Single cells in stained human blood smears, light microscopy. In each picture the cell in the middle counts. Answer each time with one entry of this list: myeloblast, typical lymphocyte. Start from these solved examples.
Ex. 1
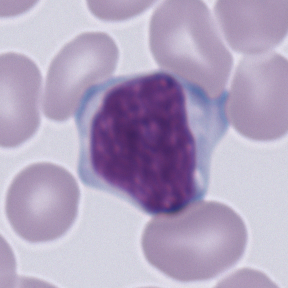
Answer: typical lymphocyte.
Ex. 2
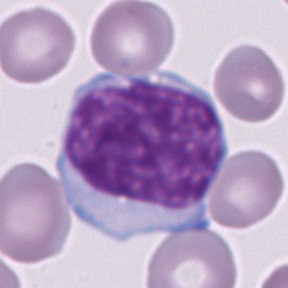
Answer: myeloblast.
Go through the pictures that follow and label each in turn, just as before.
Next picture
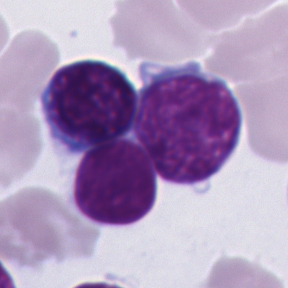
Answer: myeloblast.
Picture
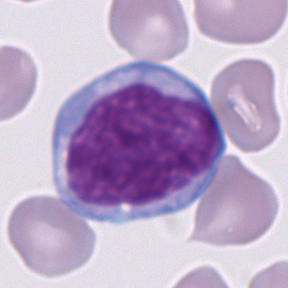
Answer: myeloblast.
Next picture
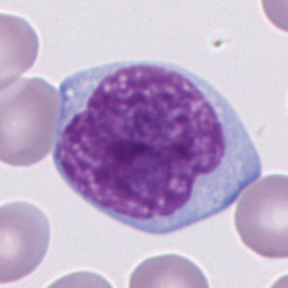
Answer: myeloblast.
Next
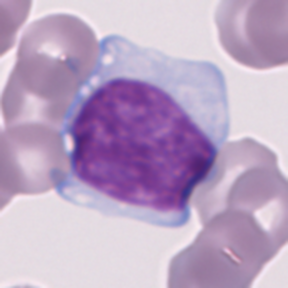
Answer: myeloblast.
